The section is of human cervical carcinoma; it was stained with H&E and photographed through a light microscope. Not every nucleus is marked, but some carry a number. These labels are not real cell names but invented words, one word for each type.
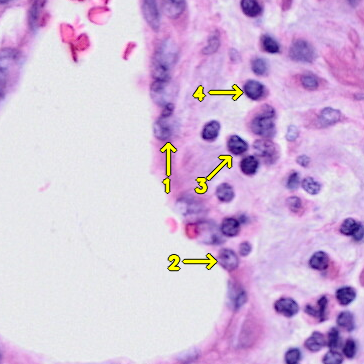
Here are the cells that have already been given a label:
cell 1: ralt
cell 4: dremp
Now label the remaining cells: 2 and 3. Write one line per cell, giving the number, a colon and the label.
2: ralt
3: dremp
